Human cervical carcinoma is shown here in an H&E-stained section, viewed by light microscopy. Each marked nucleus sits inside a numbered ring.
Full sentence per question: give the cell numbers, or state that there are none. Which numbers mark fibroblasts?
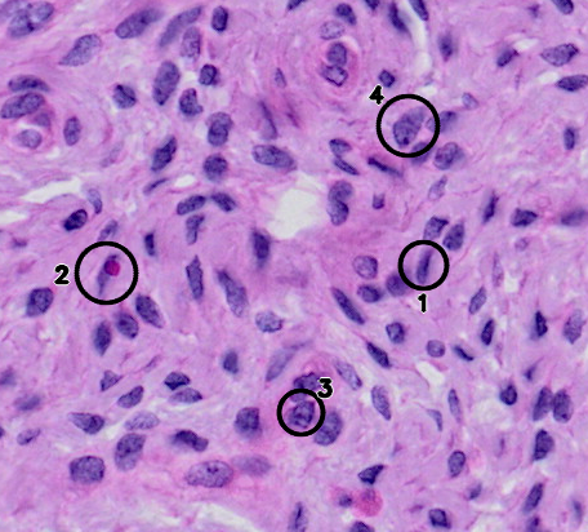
The cells numbered 1, 2 and 4 are of one kind: fibroblasts.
